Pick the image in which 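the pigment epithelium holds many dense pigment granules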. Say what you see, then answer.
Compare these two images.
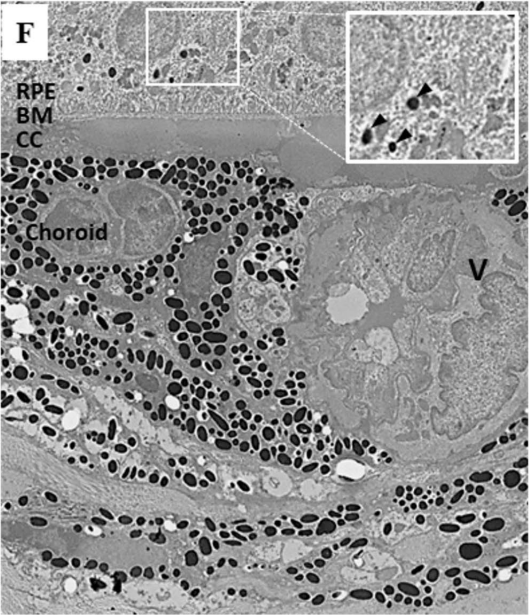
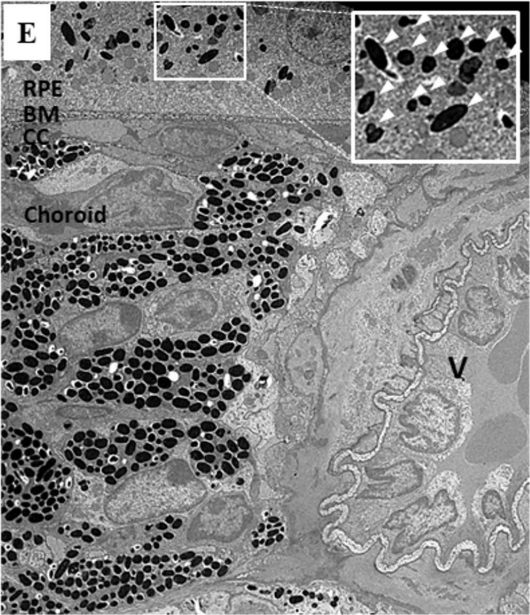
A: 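First image: the epithelial layer at the top shows only a few scattered dark granules. Second image: the epithelial layer at the top holds many black round and oval granules.
The second image.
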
